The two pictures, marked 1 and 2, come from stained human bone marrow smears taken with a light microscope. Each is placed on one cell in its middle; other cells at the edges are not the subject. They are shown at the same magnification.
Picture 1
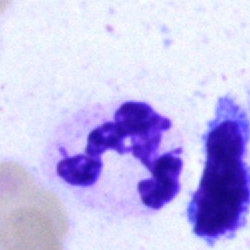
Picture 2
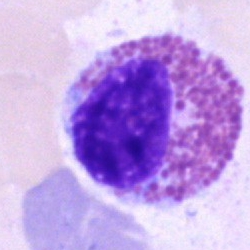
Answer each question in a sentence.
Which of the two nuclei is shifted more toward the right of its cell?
It is the nucleus in picture 1 that lies further toward the right of its cell.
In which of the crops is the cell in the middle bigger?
Larger is the cell in picture 2, at roughly 2 times the area of the other.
